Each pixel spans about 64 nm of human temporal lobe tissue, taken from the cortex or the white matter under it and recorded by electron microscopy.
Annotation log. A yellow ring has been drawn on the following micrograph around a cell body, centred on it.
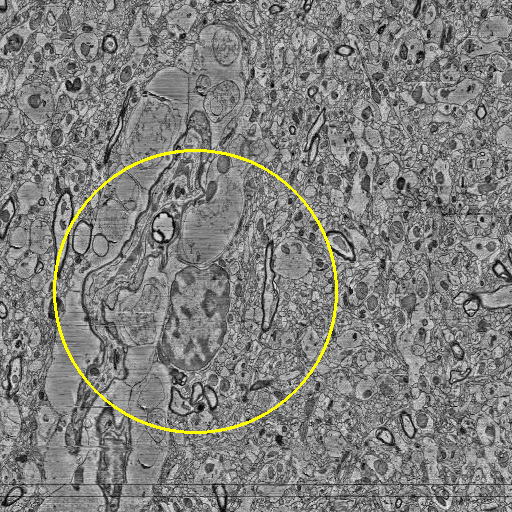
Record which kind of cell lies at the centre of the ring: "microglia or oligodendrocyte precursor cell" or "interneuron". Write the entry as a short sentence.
The cell the ring is centred on is a microglial cell or oligodendrocyte precursor cell.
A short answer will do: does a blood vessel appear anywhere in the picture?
Yes, the image shows a blood vessel.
